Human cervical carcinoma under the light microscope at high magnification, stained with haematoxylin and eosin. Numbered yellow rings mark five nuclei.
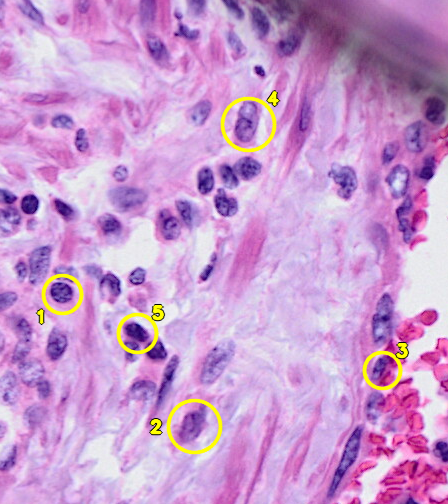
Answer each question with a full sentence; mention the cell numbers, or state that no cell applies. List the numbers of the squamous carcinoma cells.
None of the cells indicated by numbers are squamous carcinoma cells.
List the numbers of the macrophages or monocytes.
The cells tagged 2 and 4 are macrophages or monocytes in this tissue section.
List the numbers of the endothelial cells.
Among the cells marked with numbers, the only one that is an endothelial cell is number 3.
